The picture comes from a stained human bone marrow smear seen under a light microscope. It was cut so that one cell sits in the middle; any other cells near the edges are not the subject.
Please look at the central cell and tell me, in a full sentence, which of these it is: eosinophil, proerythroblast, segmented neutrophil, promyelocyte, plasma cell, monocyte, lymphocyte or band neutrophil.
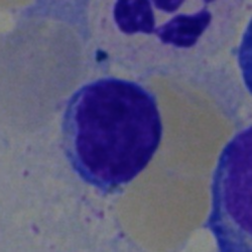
Within this crop, a lymphocyte occupies the central position.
